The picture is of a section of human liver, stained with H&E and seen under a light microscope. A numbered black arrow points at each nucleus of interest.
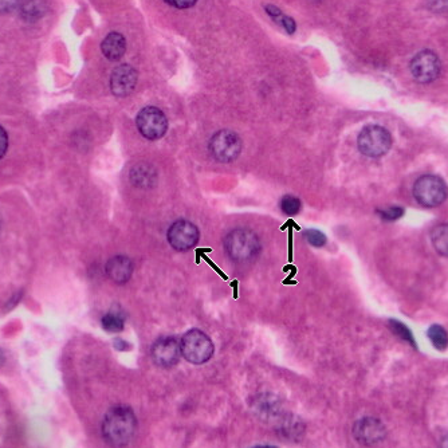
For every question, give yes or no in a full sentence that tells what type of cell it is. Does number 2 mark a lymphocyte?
Yes, the cell that has number 2 is a lymphocyte.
